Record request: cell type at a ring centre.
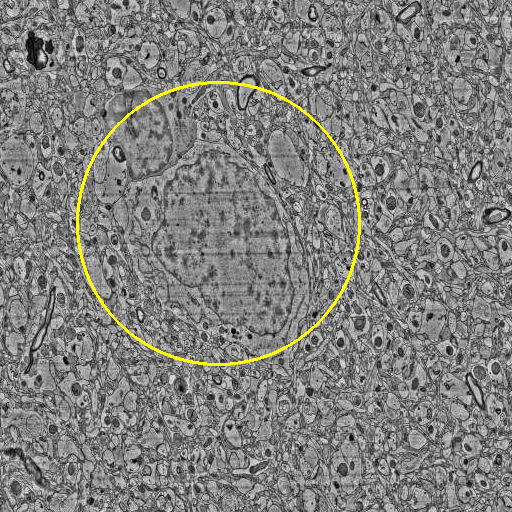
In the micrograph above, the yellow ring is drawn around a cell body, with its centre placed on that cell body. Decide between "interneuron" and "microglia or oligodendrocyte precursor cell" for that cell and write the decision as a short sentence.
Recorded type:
The cell centred in the yellow ring is an interneuron.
